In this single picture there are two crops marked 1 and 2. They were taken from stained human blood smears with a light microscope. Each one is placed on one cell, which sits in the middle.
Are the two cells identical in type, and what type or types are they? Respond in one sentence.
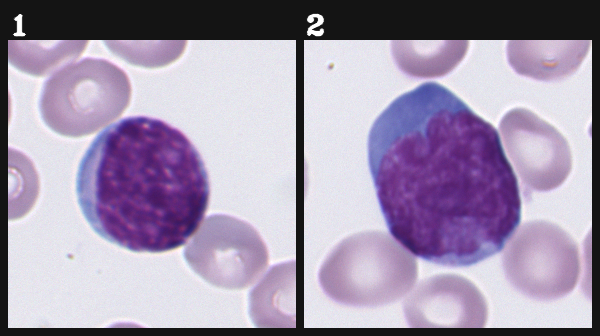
Yes, the reply for both crops is myeloblasts.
